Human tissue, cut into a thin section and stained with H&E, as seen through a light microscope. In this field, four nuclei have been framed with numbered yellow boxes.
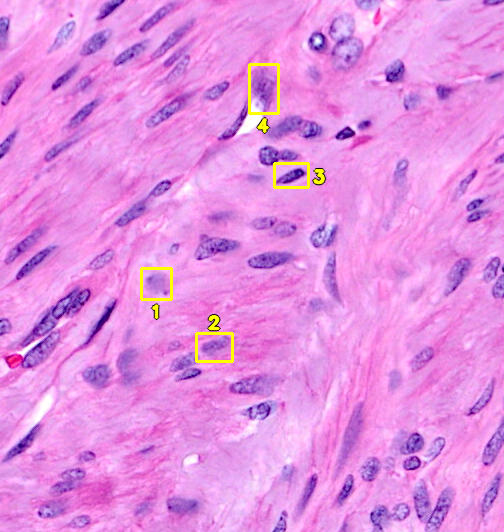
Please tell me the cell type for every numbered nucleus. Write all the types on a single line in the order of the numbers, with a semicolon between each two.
fibroblast; smooth muscle cell; fibroblast; endothelial cell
